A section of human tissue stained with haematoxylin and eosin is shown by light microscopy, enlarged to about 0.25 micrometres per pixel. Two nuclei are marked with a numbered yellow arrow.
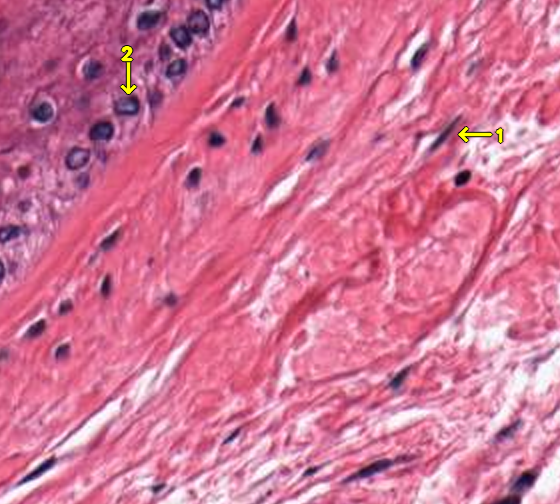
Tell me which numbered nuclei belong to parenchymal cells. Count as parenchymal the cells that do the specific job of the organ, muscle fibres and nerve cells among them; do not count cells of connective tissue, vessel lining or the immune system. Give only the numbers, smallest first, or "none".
2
